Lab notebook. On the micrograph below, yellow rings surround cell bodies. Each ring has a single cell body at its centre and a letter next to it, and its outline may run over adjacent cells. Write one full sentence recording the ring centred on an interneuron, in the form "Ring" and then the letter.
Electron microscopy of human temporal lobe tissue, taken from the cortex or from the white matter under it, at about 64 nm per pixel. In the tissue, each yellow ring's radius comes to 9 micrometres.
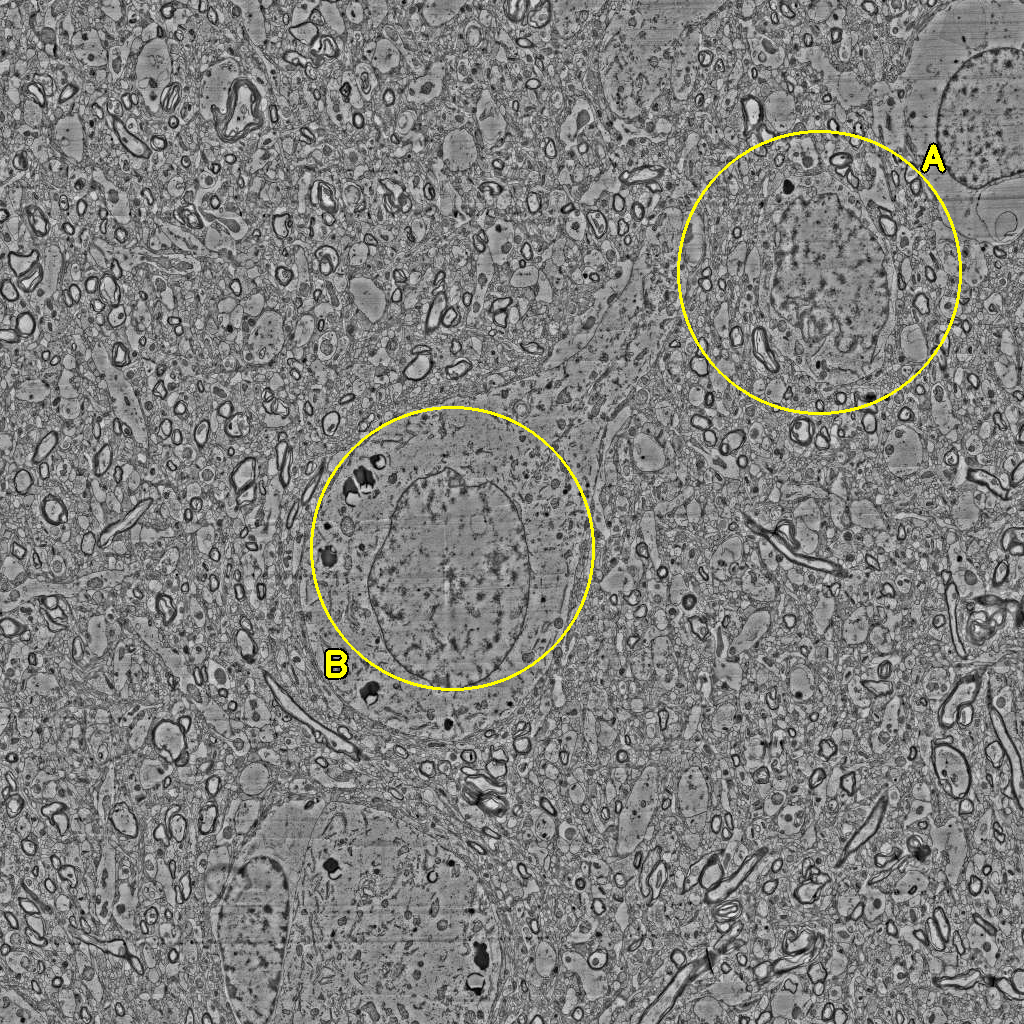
My answer is Ring A, the ring centred on a cell of that kind.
